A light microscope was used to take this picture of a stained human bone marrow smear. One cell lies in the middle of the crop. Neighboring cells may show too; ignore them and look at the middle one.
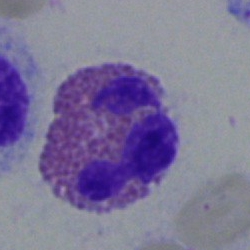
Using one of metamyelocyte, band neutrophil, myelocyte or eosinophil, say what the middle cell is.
eosinophil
